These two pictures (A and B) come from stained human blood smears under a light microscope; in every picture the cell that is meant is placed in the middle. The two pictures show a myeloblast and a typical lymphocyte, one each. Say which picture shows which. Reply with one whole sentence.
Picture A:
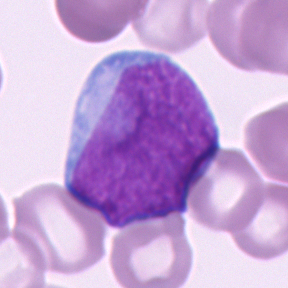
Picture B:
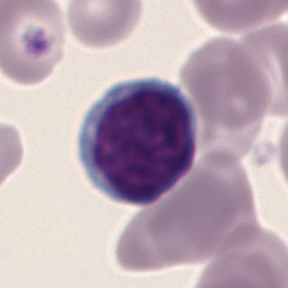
Picture A is of a myeloblast, and picture B is of a typical lymphocyte.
